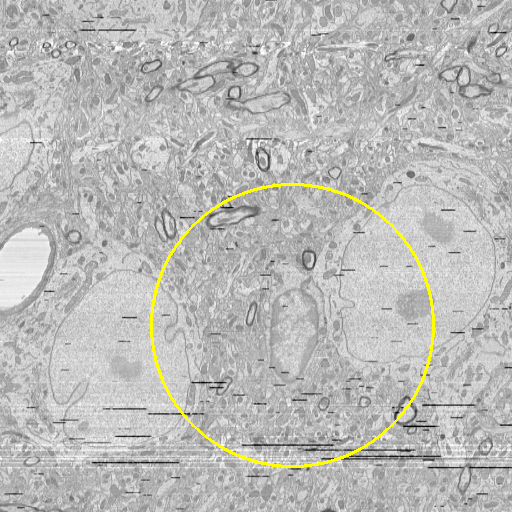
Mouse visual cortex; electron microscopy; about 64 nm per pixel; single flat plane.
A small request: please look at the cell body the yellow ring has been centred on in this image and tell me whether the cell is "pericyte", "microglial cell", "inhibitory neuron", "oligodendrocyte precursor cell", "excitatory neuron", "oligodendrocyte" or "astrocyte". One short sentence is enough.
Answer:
The cell marked by the ring is an oligodendrocyte.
